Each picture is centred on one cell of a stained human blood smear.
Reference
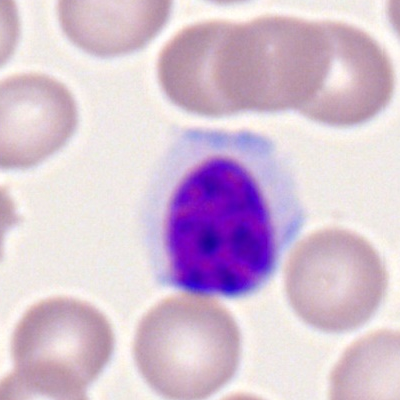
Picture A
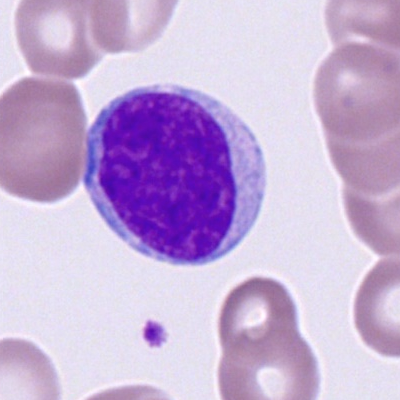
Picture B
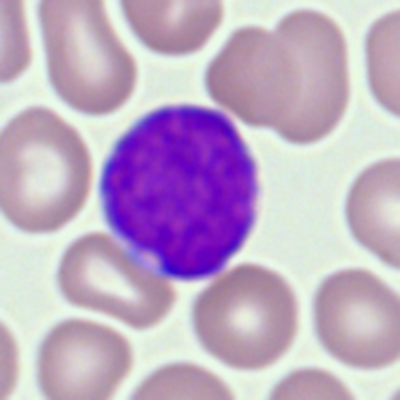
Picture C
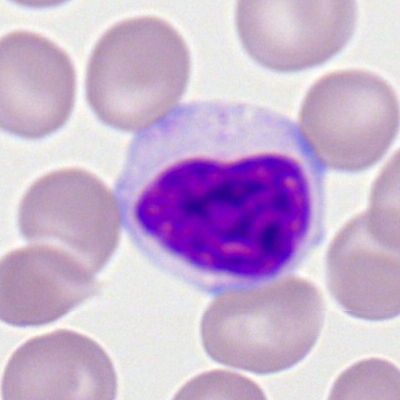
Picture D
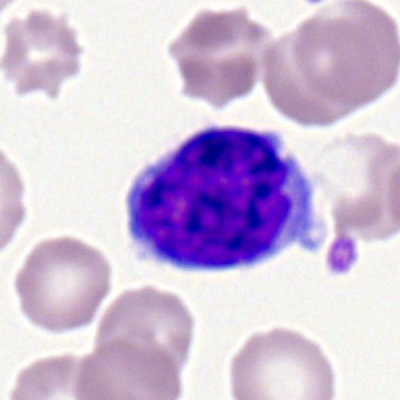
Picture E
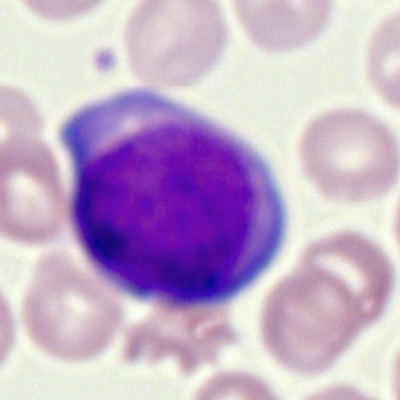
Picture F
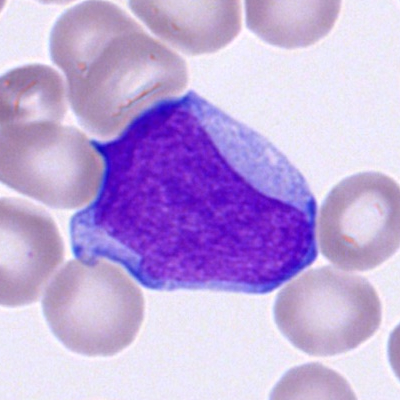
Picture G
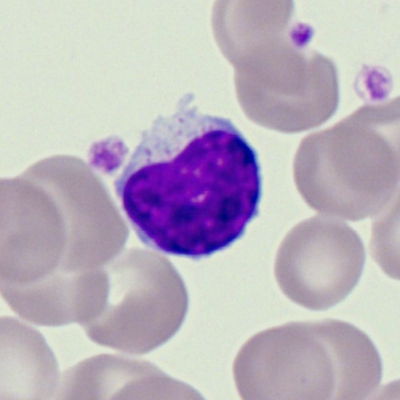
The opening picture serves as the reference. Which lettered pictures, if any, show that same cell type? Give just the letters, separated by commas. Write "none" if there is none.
C, D, G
